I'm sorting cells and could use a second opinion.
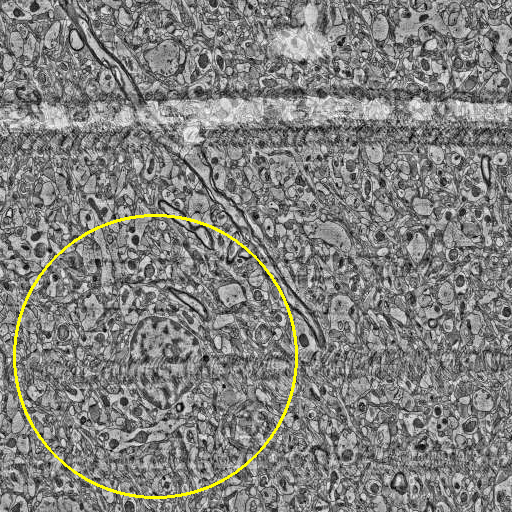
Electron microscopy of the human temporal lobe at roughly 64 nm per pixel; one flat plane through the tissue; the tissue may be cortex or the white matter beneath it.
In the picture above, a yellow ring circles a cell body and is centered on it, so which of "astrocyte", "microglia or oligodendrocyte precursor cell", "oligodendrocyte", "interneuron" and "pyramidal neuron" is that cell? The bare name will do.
microglia or oligodendrocyte precursor cell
